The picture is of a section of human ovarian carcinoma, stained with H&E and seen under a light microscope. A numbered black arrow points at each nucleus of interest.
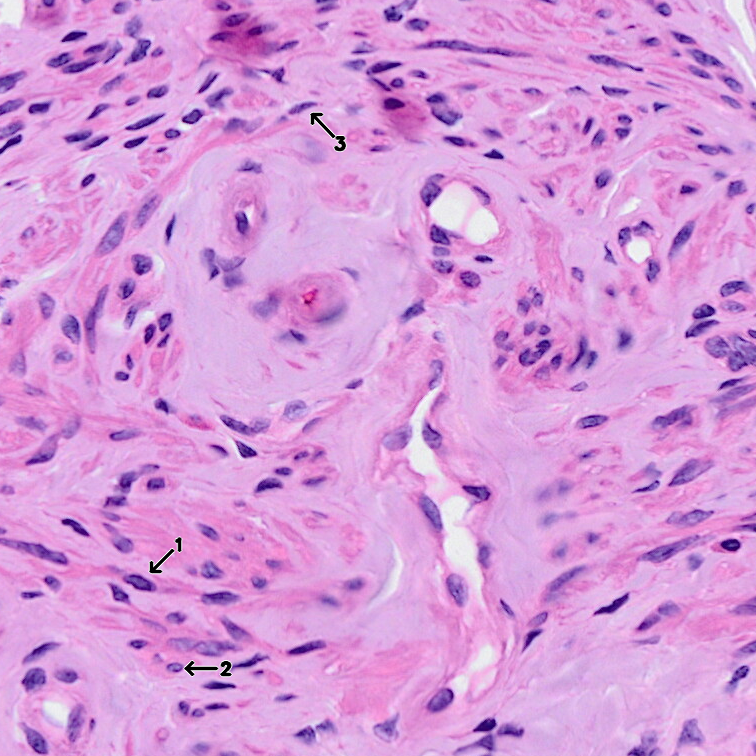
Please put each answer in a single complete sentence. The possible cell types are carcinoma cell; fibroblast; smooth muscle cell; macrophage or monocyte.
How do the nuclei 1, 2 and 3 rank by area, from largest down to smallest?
Largest first, the order by area is 1, 3, 2.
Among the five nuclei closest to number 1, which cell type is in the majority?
Of the five nuclei nearest to number 1, most belong to smooth muscle cells.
